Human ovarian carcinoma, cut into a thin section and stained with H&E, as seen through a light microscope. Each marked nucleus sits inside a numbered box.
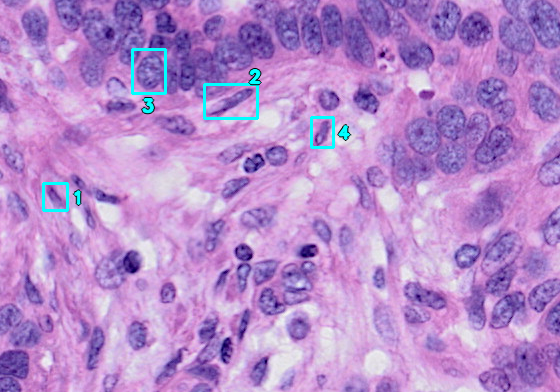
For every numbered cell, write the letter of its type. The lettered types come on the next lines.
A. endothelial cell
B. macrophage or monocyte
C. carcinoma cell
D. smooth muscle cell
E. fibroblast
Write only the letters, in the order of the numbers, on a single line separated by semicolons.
E; E; C; E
